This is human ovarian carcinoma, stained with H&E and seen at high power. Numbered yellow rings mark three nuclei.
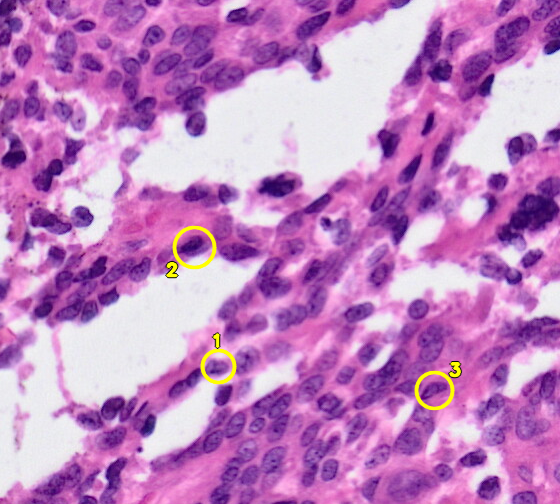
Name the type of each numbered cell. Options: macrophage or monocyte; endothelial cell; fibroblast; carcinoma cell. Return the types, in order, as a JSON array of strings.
["macrophage or monocyte", "carcinoma cell", "carcinoma cell"]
